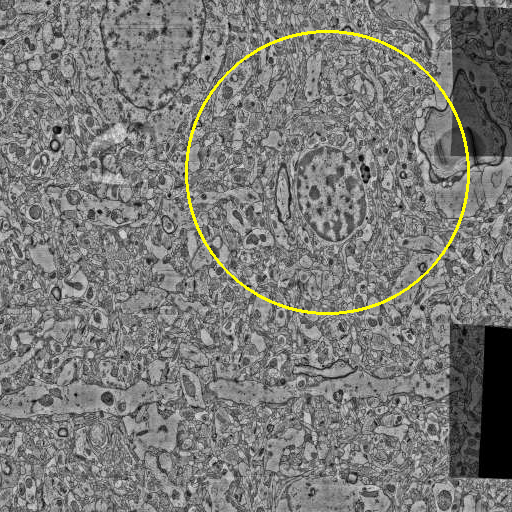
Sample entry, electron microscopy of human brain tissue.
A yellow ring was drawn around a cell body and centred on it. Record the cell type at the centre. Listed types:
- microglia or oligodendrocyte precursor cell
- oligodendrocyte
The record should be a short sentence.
The cell at the ring's centre is a microglial cell or oligodendrocyte precursor cell.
